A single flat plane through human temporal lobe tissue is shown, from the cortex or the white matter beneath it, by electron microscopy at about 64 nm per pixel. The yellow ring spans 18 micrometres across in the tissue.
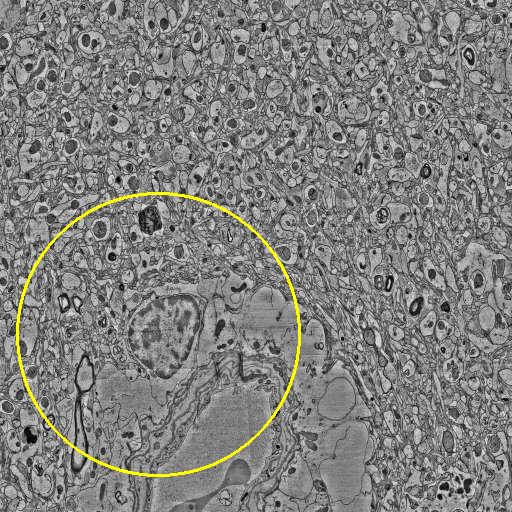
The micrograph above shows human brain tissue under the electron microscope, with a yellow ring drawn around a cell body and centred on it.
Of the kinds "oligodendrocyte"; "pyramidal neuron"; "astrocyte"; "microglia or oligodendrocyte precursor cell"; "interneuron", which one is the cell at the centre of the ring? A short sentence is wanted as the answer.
The one at the centre of the ring is a microglial cell or oligodendrocyte precursor cell.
